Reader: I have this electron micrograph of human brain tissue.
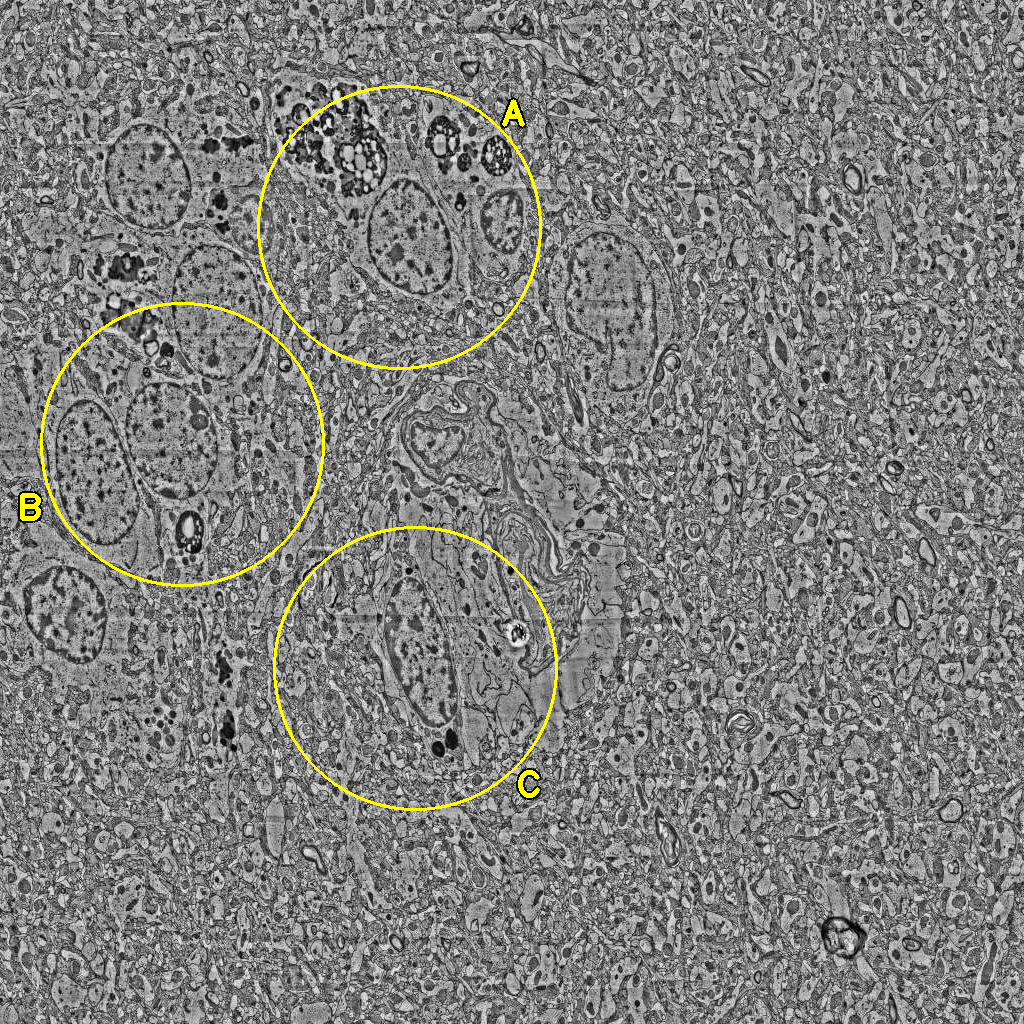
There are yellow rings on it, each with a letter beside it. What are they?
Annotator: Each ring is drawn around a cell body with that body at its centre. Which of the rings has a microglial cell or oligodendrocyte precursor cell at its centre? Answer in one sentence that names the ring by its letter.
That cell sits at the centre of ring C.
